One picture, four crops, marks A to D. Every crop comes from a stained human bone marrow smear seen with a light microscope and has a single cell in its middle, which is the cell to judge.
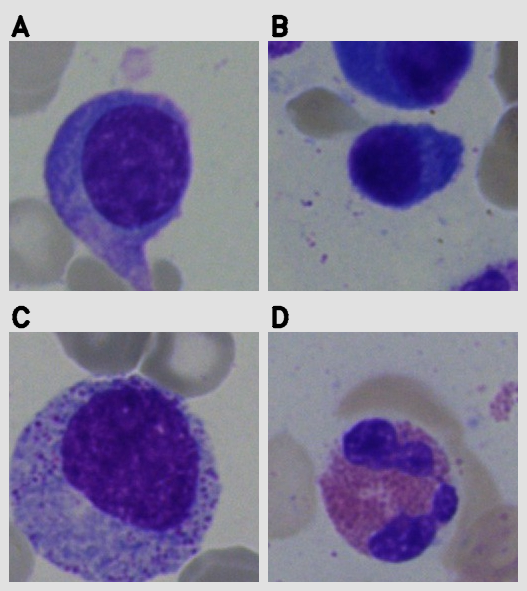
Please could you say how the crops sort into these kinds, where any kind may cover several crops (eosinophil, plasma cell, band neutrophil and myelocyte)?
A: plasma cell
B: plasma cell
C: myelocyte
D: eosinophil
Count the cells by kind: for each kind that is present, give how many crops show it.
plasma cell: 2
myelocyte: 1
eosinophil: 1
